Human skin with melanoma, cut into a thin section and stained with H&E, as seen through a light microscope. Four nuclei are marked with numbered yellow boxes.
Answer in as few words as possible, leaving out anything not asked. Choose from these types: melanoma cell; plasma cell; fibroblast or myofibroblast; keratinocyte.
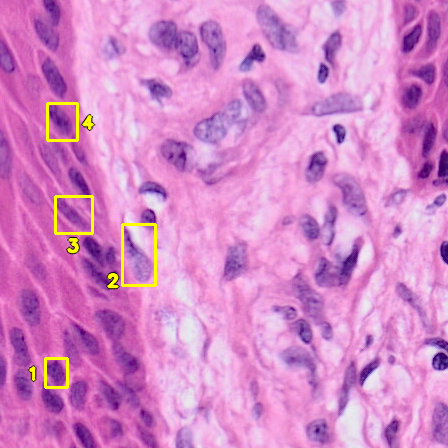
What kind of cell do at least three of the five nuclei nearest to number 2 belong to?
keratinocyte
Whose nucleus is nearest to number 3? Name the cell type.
keratinocyte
